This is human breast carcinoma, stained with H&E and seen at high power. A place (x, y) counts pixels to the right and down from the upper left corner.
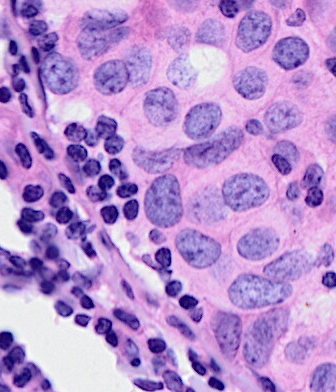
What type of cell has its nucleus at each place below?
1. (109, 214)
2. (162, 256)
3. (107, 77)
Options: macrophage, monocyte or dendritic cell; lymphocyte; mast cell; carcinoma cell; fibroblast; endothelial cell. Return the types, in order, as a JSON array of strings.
["lymphocyte", "lymphocyte", "carcinoma cell"]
